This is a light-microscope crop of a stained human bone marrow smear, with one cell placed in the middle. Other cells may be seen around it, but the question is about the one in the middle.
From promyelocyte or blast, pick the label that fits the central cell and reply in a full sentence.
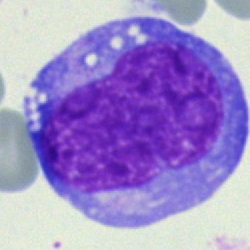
The cell positioned in the middle of the field is a blast.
